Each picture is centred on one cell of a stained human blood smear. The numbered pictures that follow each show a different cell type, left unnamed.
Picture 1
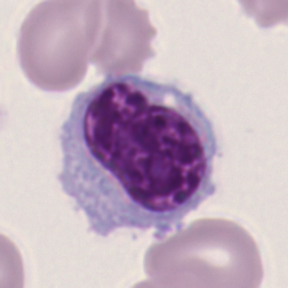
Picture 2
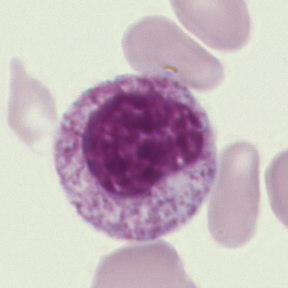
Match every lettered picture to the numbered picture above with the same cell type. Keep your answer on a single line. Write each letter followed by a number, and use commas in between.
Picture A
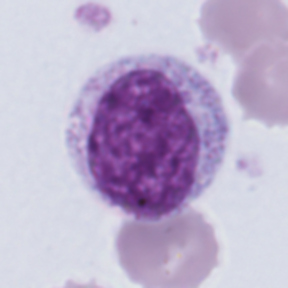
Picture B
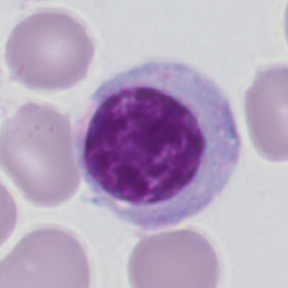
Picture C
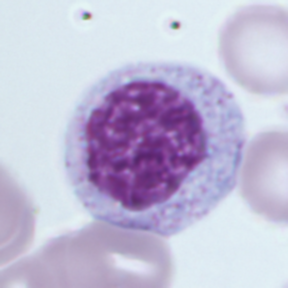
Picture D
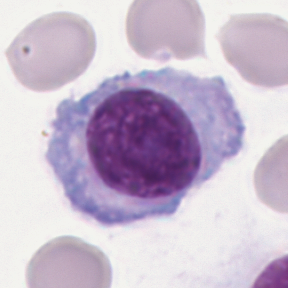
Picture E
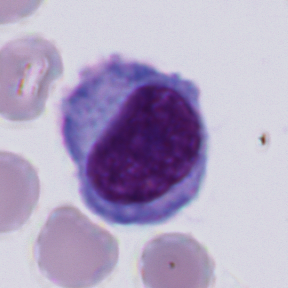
A 2, B 1, C 2, D 1, E 1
